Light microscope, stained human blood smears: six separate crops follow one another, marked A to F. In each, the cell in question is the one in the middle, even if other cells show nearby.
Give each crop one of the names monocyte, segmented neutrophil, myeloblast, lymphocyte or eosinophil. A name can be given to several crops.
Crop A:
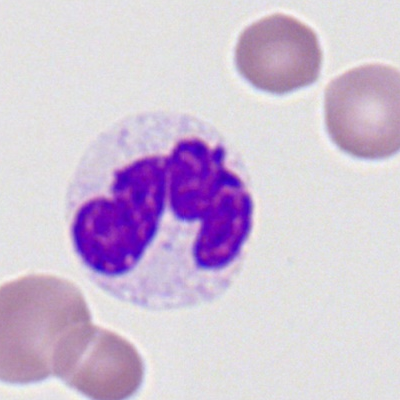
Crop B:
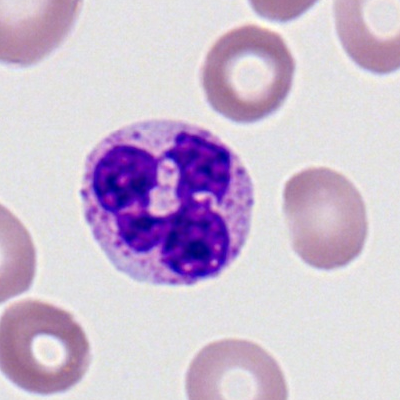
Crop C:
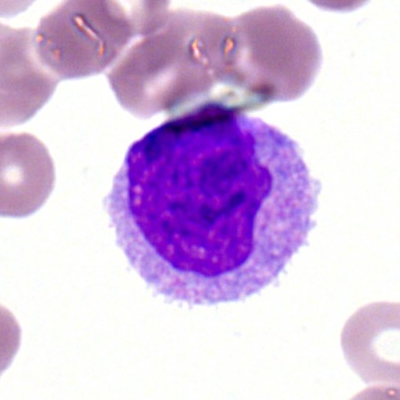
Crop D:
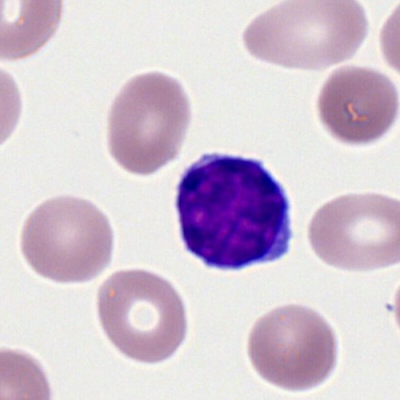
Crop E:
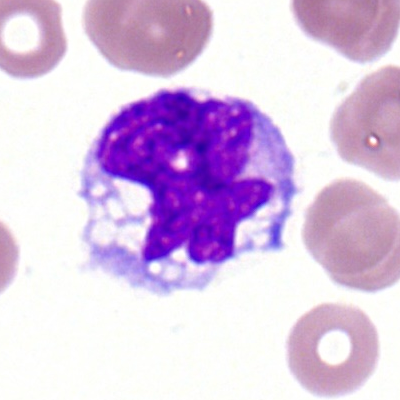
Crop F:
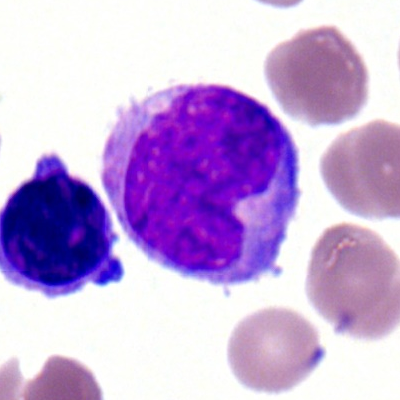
A: segmented neutrophil
B: segmented neutrophil
C: monocyte
D: lymphocyte
E: monocyte
F: monocyte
